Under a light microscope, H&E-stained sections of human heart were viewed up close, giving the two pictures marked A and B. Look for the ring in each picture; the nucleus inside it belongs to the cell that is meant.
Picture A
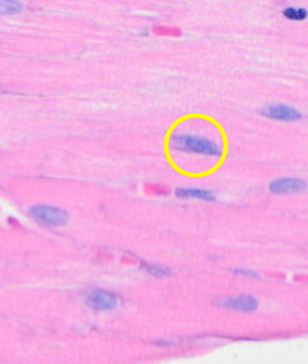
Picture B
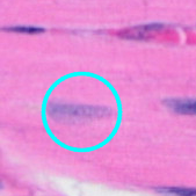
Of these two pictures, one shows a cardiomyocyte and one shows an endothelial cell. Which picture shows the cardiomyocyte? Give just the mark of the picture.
B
